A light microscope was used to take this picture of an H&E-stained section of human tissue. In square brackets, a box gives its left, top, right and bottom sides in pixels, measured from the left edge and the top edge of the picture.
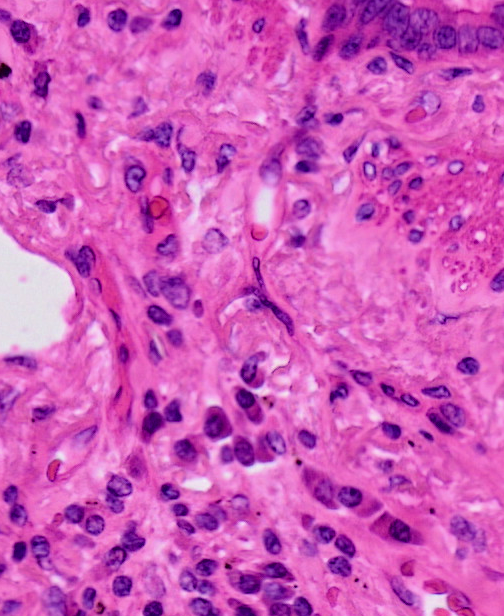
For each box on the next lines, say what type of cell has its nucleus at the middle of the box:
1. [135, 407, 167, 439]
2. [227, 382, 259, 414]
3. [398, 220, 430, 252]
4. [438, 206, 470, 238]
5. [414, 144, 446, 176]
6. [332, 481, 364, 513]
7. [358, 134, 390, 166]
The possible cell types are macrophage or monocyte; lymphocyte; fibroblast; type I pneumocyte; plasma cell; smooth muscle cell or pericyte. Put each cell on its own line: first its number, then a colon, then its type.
1: plasma cell
2: plasma cell
3: smooth muscle cell or pericyte
4: smooth muscle cell or pericyte
5: smooth muscle cell or pericyte
6: plasma cell
7: smooth muscle cell or pericyte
